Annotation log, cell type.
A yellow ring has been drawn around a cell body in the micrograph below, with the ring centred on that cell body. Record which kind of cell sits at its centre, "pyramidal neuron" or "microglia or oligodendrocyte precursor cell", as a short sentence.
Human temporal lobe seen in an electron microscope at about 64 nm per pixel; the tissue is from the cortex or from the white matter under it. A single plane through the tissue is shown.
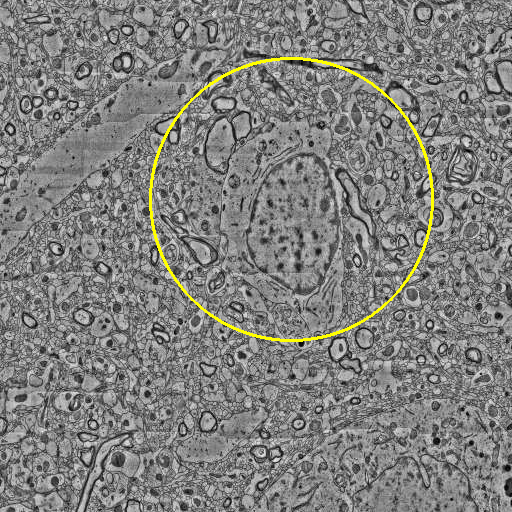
The cell at the centre of this ring is a microglial cell or oligodendrocyte precursor cell.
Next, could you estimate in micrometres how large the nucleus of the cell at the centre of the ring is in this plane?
The nucleus has a long axis of about 9 micrometres and a short axis of about 6 micrometres in this plane.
